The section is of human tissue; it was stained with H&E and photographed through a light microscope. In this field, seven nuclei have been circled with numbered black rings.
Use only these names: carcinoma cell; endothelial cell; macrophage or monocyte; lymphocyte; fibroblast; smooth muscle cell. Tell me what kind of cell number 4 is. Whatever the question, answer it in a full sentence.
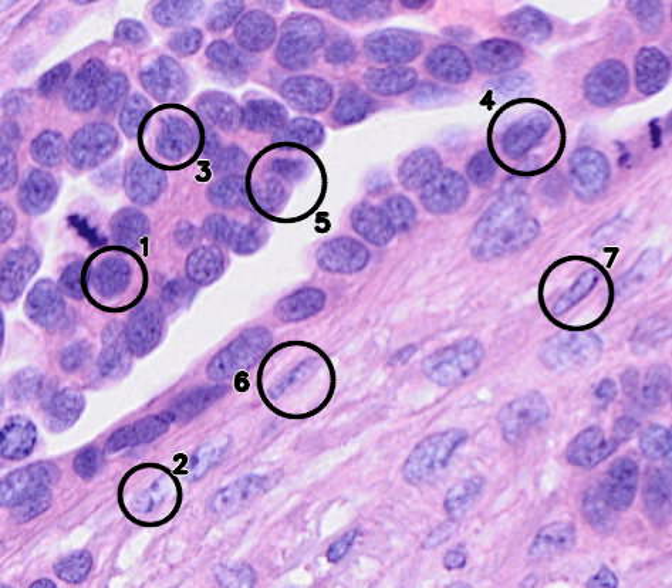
Cell 4, among those numbered, is a carcinoma cell.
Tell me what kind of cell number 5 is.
In this section, number 5 marks a carcinoma cell.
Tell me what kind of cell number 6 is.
The cell given label 6 is a fibroblast.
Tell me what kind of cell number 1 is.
That cell with number 1 is a carcinoma cell.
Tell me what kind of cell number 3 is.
Here, the cell given the number 3 is a carcinoma cell.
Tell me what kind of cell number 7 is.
Cell 7 in the field is a fibroblast.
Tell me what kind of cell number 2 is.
The cell tagged with 2 in this tissue section is a fibroblast.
